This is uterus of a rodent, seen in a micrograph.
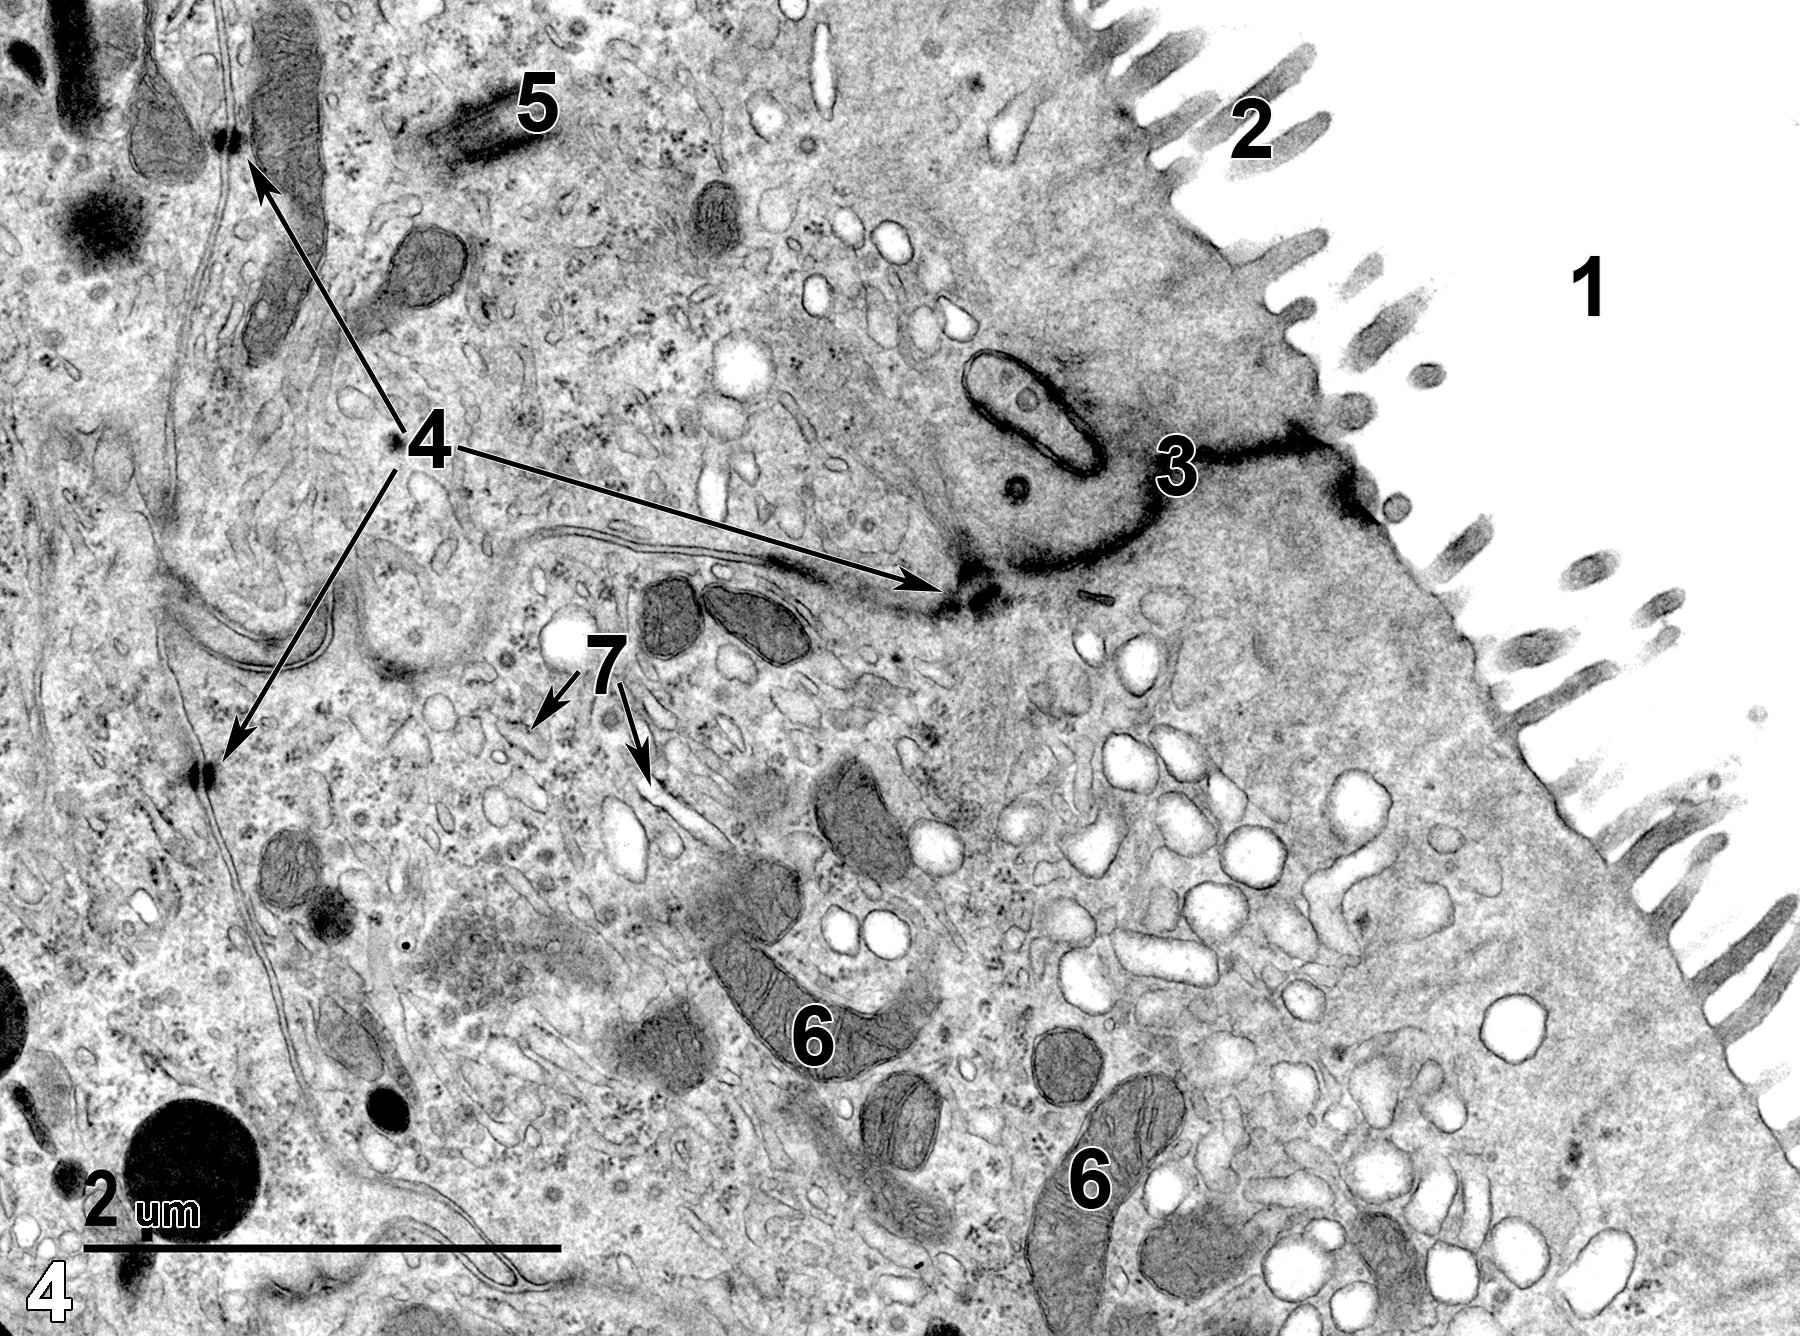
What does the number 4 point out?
Desmosomes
